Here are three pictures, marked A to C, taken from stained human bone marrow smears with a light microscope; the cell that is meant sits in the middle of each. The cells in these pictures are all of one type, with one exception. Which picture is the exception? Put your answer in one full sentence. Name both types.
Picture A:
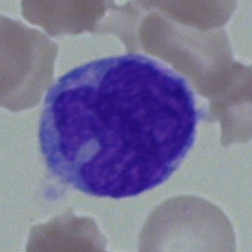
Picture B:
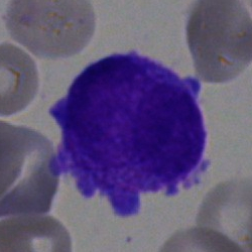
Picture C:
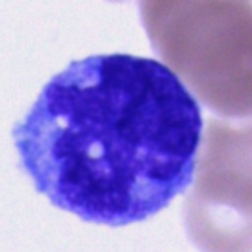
Picture B is the odd one out: it shows a blast, while the others show monocytes.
